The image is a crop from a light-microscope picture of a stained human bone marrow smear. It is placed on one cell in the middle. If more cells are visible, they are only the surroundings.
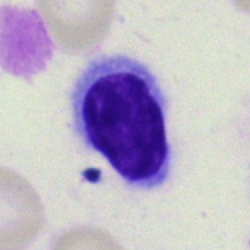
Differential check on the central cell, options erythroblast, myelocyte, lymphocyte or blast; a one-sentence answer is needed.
Looking at the middle of the crop, the cell there is a lymphocyte.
